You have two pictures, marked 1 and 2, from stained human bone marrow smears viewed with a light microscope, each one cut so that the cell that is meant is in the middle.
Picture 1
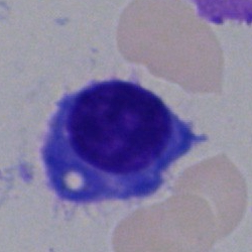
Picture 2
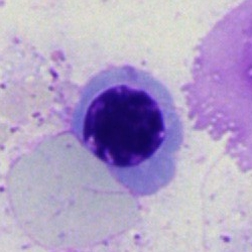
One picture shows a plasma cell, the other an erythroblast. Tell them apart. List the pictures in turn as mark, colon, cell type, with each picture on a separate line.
1: plasma cell
2: erythroblast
